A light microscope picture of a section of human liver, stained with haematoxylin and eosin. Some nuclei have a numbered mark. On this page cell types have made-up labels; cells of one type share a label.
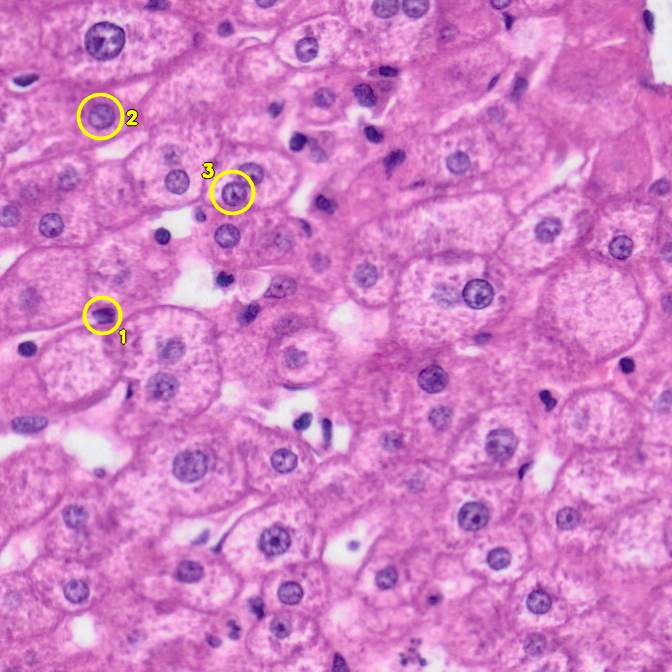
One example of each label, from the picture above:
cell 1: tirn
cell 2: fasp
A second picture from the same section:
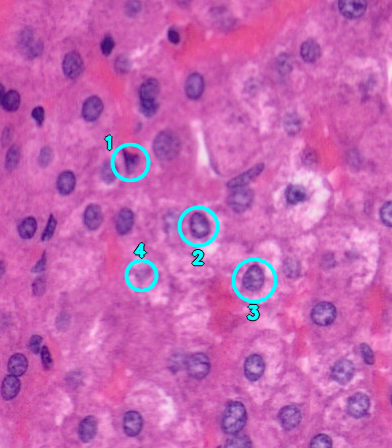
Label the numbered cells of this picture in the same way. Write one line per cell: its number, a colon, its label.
1: tirn
2: fasp
3: fasp
4: fasp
